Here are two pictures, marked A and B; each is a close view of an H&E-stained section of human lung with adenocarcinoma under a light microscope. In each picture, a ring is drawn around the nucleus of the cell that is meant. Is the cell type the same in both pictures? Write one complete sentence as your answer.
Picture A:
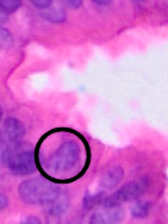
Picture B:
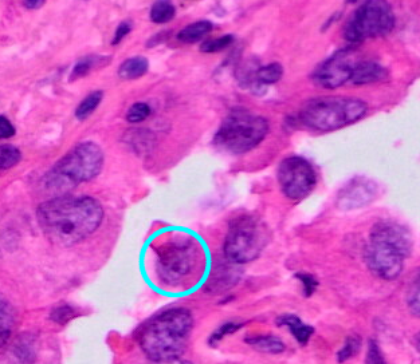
No, they differ: the cell is a ciliated epithelial cell in picture A and a carcinoma cell in picture B.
